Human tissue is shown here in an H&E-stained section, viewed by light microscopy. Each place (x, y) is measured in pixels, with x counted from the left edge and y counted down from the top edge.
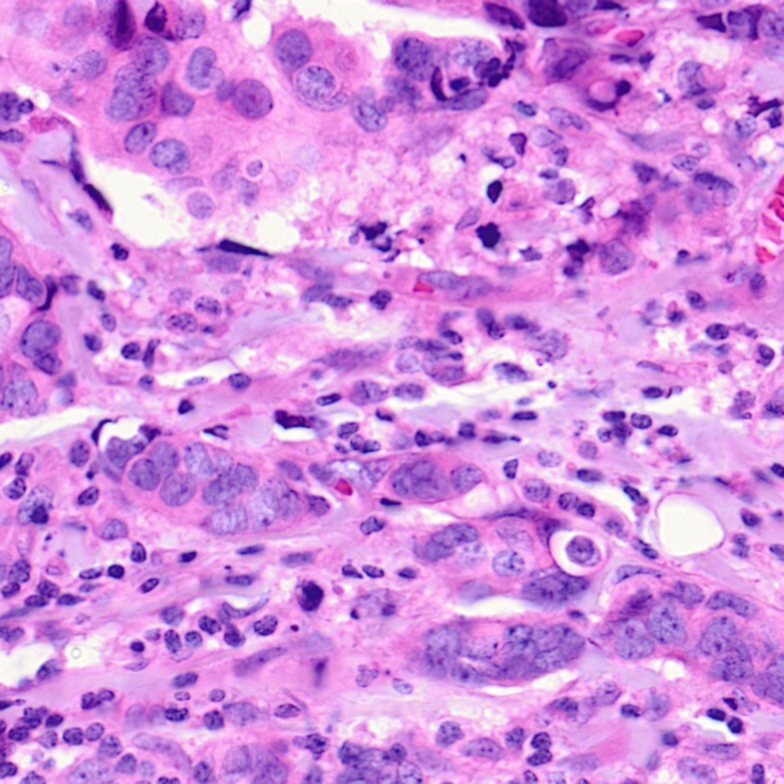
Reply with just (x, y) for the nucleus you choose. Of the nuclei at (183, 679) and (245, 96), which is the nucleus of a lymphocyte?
(183, 679)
